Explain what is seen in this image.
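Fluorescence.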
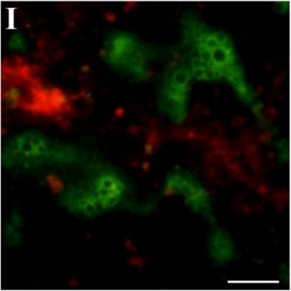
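The green cells are broad and irregular, spreading over a far larger area than the red cells beside them. Their green cytoplasm is pierced by numerous round dark holes of similar size, scattered through the cell body. The red cells are smaller, more granular in appearance and crowd into patches between and beside the green cells.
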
